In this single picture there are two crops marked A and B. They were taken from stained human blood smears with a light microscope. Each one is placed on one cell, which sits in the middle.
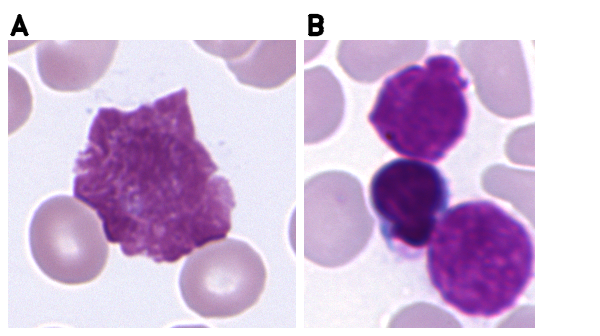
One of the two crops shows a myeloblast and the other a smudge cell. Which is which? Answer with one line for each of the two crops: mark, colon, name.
A: smudge cell
B: myeloblast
